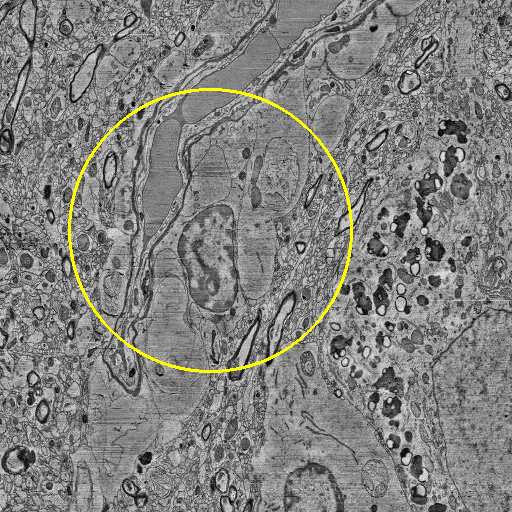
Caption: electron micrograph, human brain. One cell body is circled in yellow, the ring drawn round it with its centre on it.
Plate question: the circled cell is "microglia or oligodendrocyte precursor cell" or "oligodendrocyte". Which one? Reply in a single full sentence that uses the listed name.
The yellow ring on the plate is centred on a microglial cell or oligodendrocyte precursor cell, going by the listed names.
